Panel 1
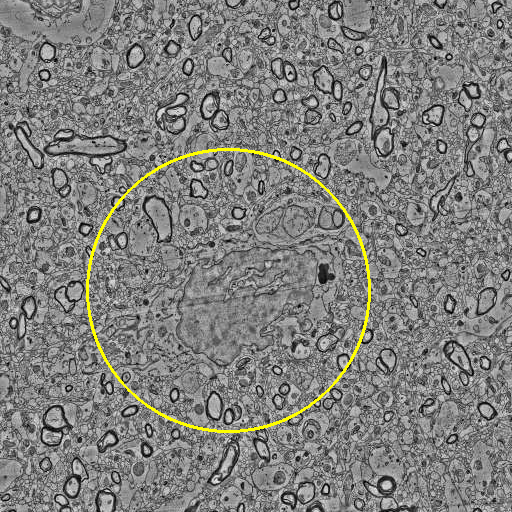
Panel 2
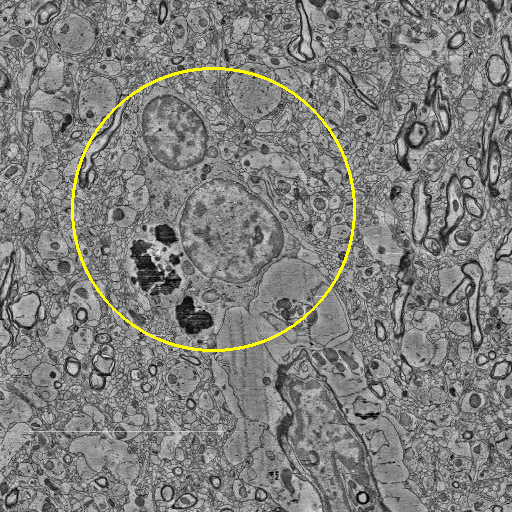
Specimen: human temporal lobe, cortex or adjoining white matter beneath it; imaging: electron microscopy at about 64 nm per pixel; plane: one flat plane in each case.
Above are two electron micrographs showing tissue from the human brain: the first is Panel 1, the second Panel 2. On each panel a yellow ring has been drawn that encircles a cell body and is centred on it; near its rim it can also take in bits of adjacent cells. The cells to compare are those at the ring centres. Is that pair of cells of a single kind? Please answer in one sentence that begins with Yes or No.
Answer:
Yes, the ring-centred cells of Panel 1 and Panel 2 belong to one kind.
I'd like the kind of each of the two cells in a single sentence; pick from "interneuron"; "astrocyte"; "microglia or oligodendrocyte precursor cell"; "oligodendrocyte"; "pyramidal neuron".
Both pictures show an oligodendrocyte at the centre of the ring.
